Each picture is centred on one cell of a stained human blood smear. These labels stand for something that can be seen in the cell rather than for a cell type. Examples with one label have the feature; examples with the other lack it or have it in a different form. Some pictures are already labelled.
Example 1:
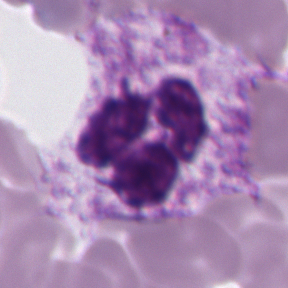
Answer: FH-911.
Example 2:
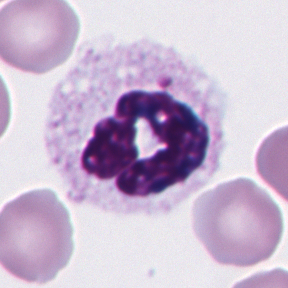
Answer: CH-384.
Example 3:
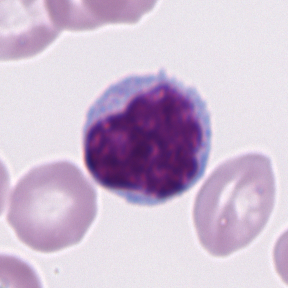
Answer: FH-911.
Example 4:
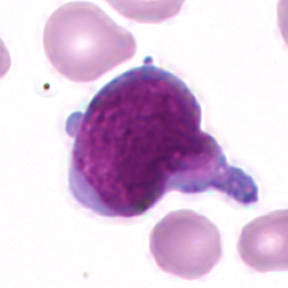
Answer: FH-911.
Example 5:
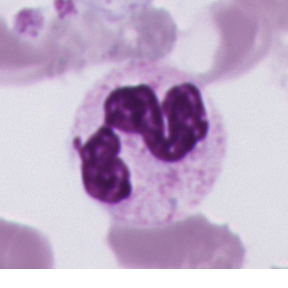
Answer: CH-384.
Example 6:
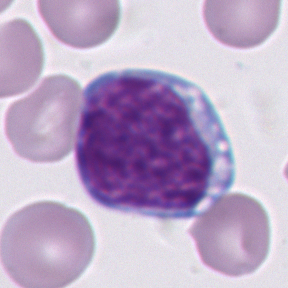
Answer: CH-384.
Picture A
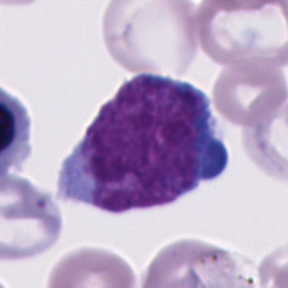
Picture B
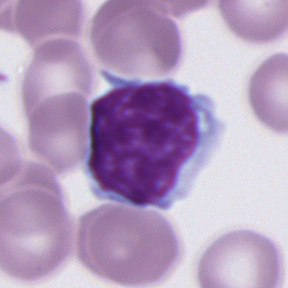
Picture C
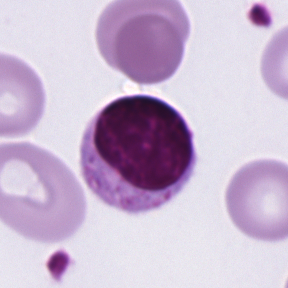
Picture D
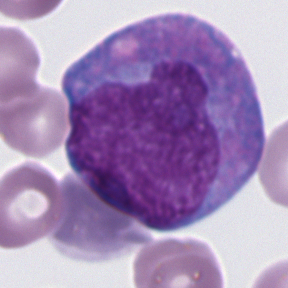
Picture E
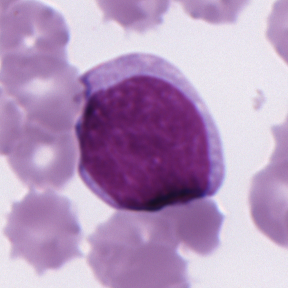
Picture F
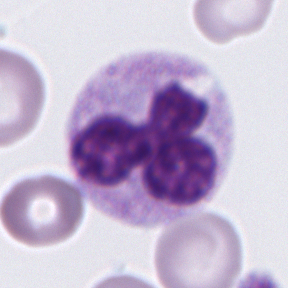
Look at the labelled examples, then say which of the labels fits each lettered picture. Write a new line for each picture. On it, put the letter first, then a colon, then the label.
A: FH-911.
B: FH-911.
C: CH-384.
D: CH-384.
E: CH-384.
F: CH-384.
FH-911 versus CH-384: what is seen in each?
Seen in FH-911: ragged outline or projections; seen in CH-384: smooth outline.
